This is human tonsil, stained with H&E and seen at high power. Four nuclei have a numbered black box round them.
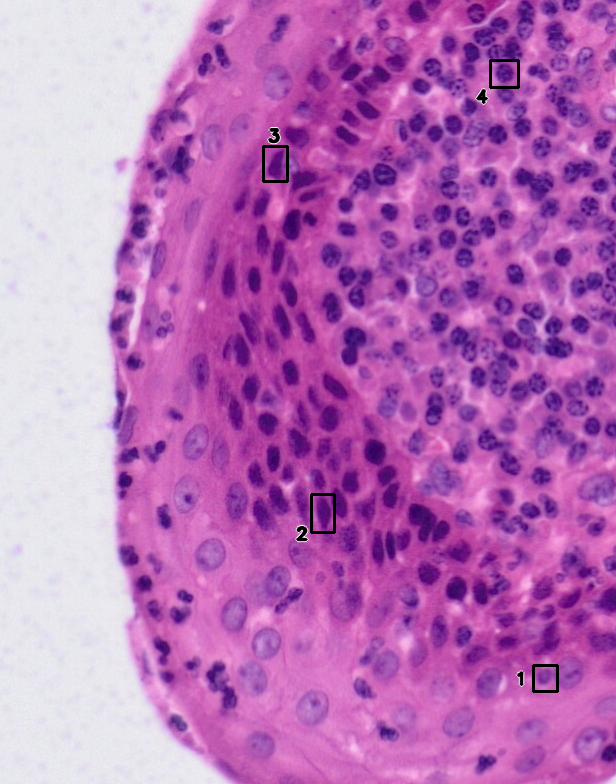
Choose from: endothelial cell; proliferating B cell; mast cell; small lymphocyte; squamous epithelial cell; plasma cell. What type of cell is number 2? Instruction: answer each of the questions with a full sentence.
Belonging to a squamous epithelial cell is the nucleus that carries the number 2.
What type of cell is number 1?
Cell 1 in the field is a squamous epithelial cell.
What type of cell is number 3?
In this section, the cell numbered 3 is a squamous epithelial cell.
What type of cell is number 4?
The correct answer for cell 4 is a plasma cell.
